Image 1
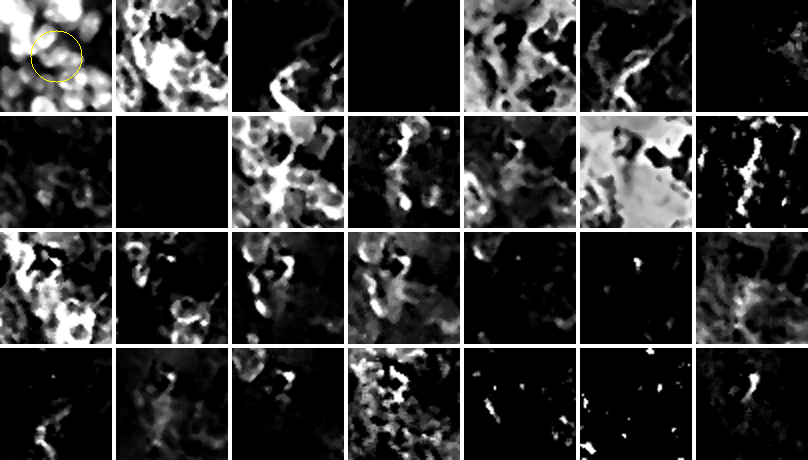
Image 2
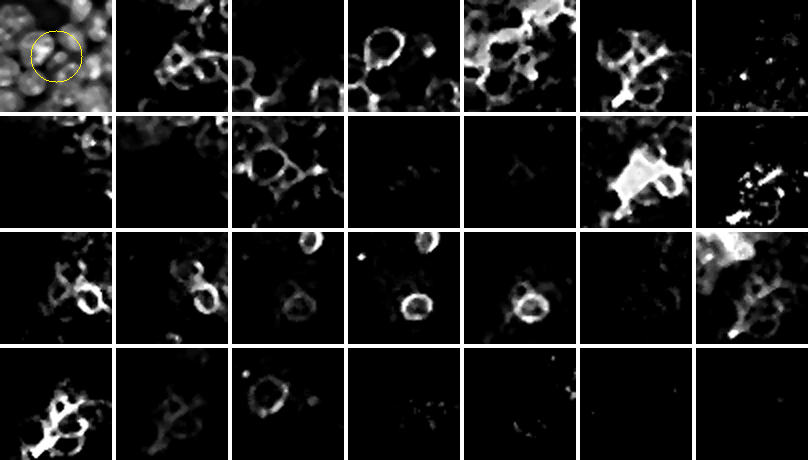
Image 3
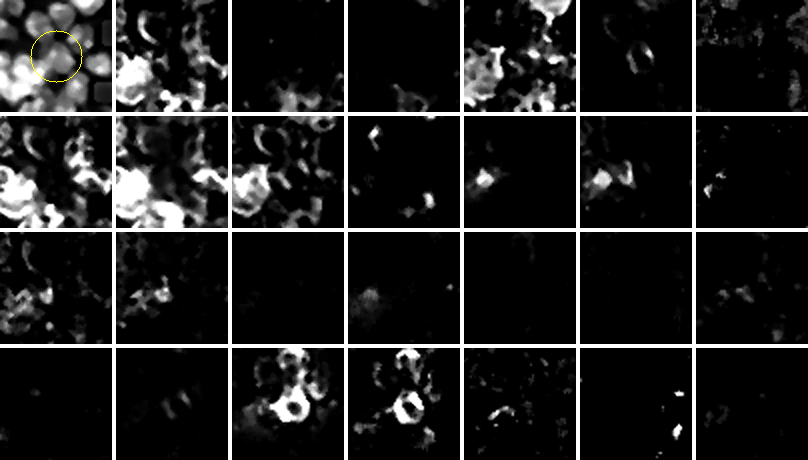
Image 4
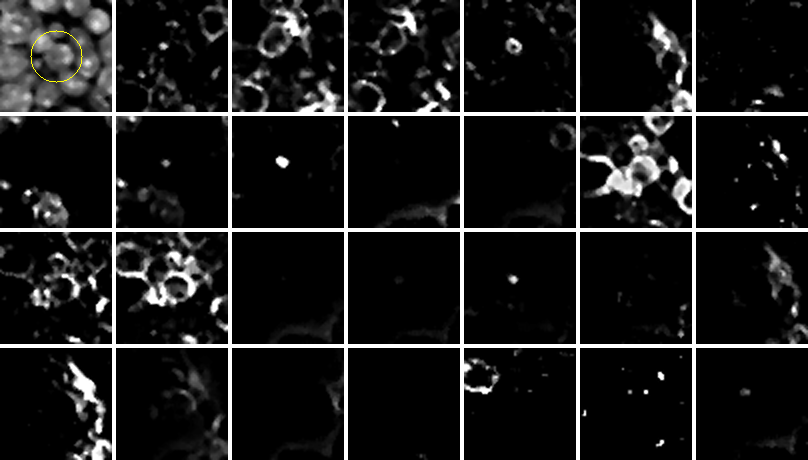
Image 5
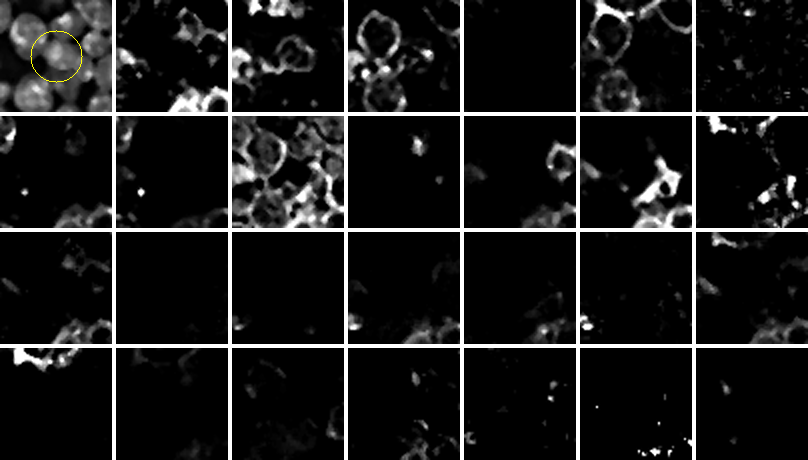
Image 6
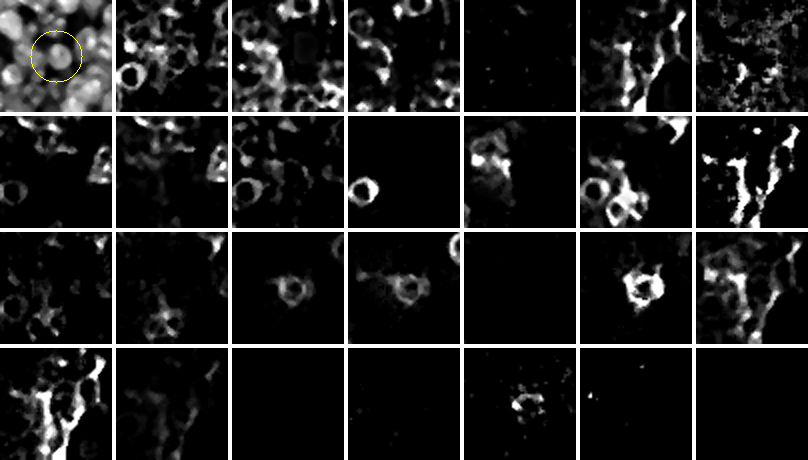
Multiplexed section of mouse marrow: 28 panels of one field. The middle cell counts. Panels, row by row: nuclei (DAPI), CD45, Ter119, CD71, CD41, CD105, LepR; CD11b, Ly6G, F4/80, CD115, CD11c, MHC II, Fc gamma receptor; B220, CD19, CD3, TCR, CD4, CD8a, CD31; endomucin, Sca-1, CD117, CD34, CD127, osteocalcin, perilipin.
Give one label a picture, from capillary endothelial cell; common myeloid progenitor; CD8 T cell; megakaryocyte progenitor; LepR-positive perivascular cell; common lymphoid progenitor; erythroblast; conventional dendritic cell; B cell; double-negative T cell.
1. conventional dendritic cell
2. capillary endothelial cell
3. common myeloid progenitor
4. B cell
5. erythroblast
6. capillary endothelial cell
